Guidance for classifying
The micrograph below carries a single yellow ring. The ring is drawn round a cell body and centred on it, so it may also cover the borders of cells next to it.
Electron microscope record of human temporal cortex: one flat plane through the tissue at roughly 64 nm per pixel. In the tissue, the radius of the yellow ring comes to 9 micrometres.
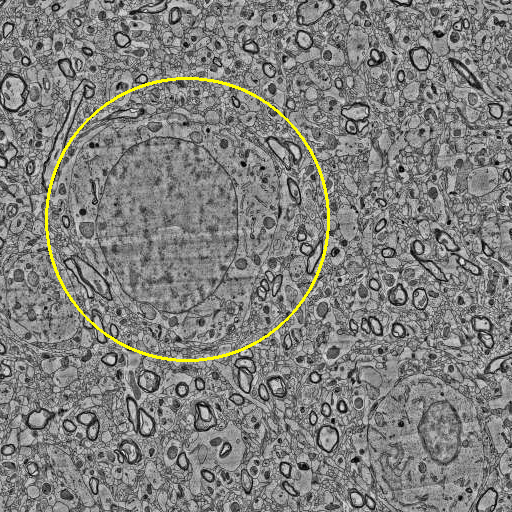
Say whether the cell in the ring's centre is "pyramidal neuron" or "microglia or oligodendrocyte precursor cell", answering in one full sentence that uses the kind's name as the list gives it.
Within the yellow ring, a pyramidal neuron is the cell whose body sits at the centre.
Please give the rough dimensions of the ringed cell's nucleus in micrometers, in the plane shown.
Approximately 11 micrometres long and 9 micrometres wide, in this plane.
